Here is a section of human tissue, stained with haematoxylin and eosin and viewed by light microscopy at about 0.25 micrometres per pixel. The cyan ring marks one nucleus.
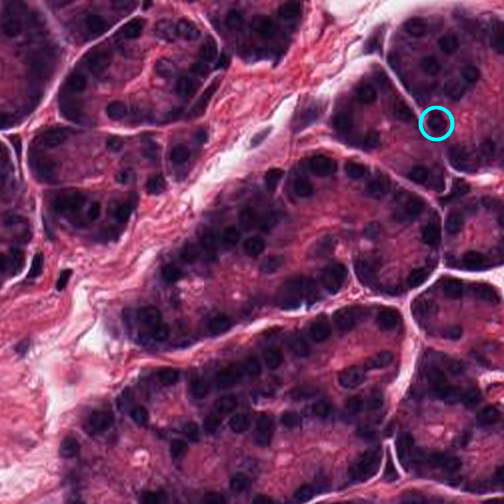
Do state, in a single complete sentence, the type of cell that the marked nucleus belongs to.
The cell that the marked nucleus belongs to is a pancreatic acinar cell.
